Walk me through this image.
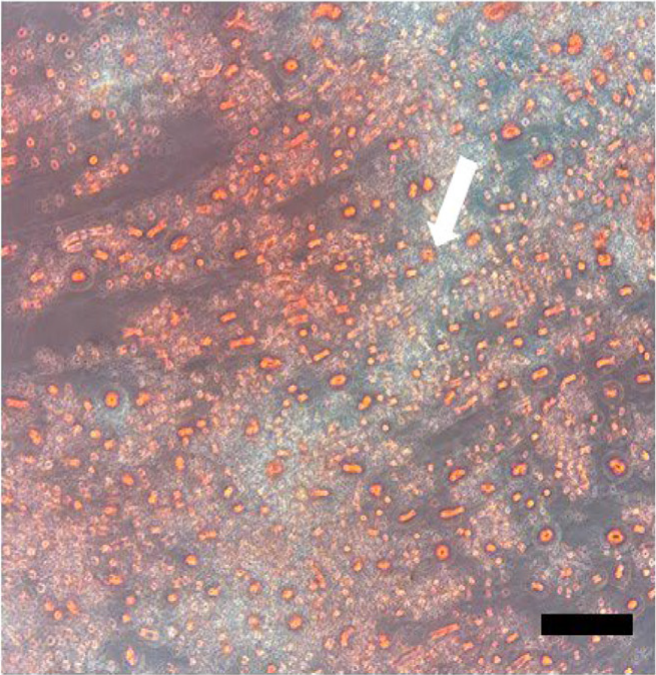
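A dense layer of cultured cells seen at moderate magnification, whose cytoplasm is dotted with many small round orange-red droplets. The red droplets vary in size, some single and rounded with a dark rim, others lined up in short rows or gathered in clusters within a cell. They are spread fairly evenly over the field.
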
